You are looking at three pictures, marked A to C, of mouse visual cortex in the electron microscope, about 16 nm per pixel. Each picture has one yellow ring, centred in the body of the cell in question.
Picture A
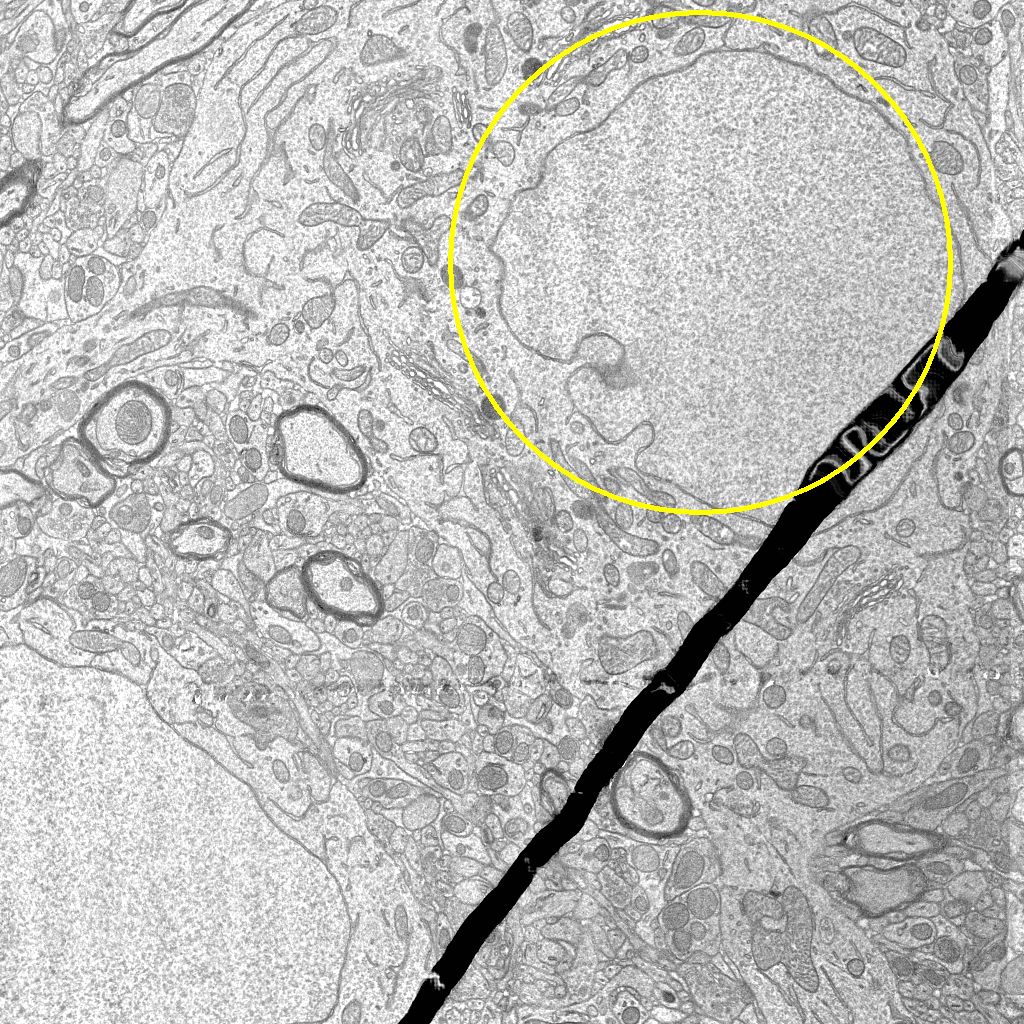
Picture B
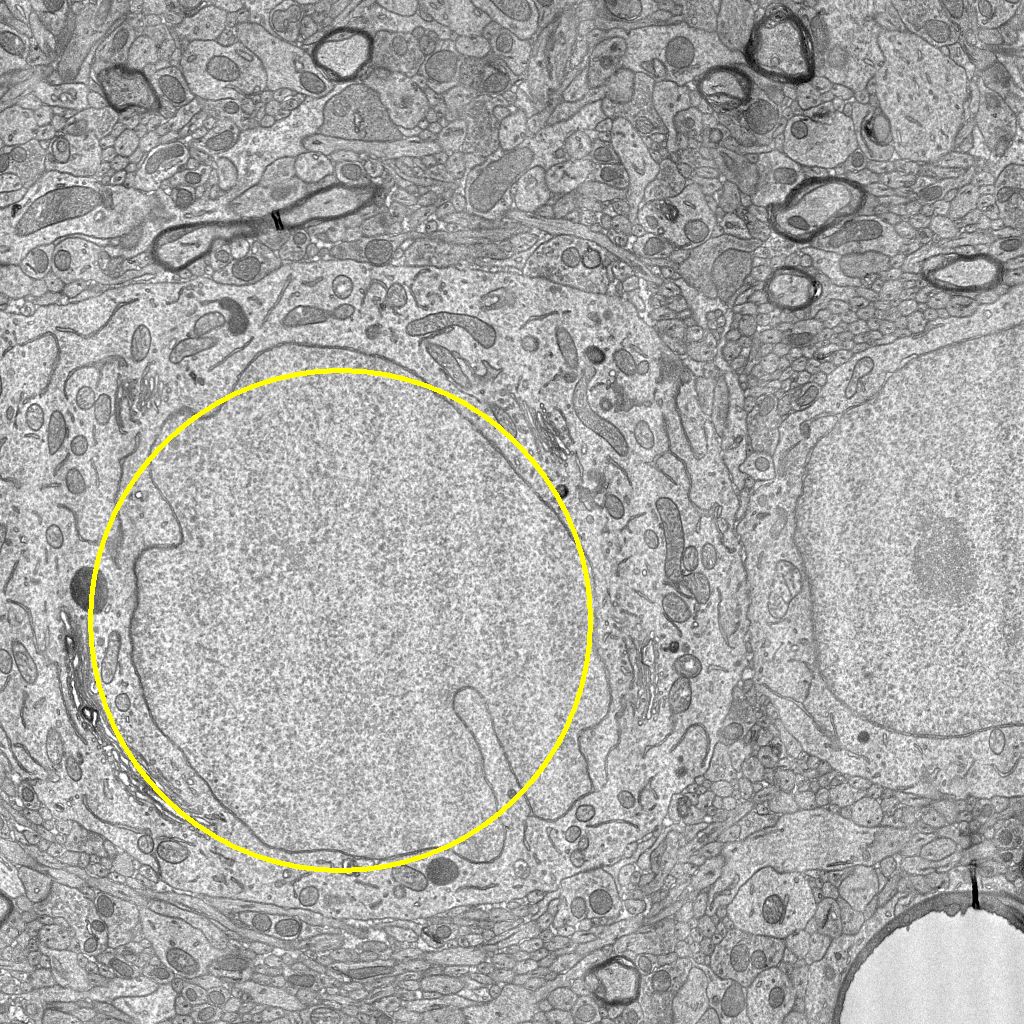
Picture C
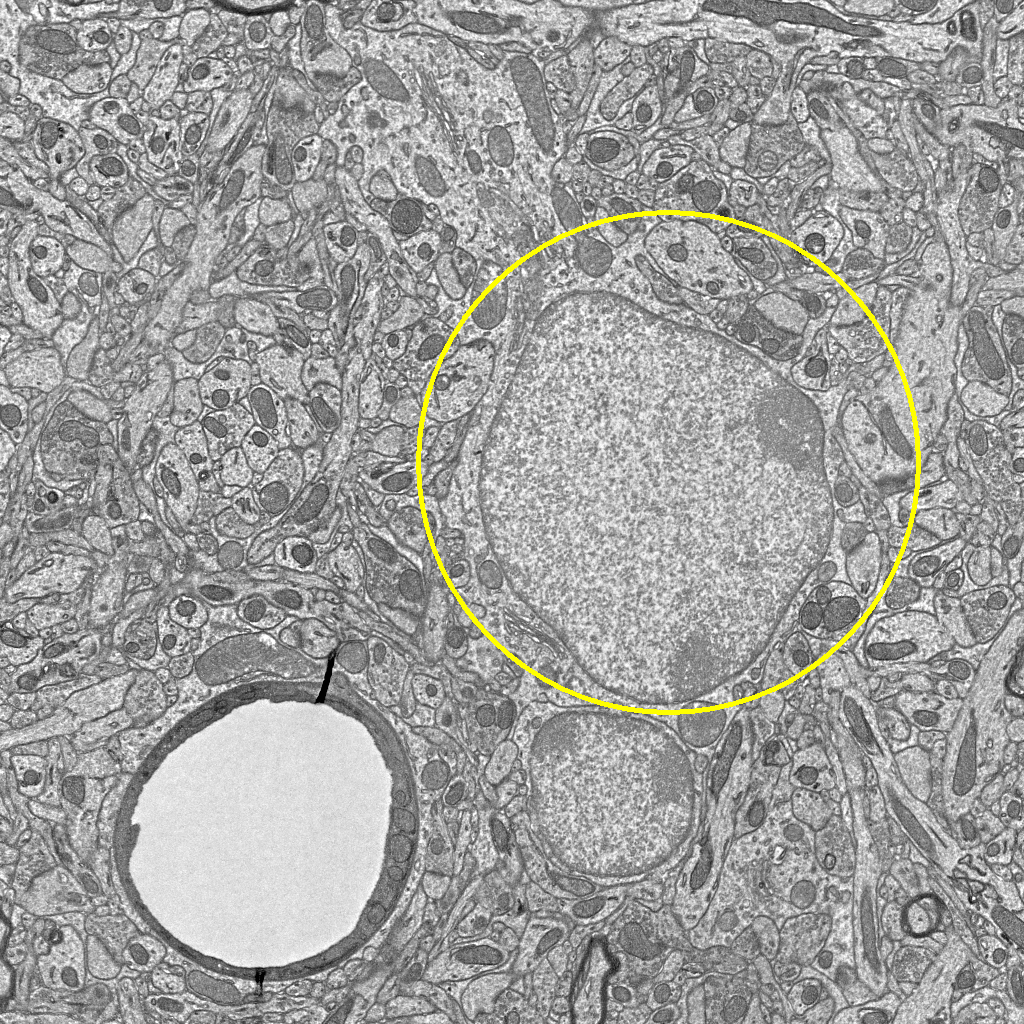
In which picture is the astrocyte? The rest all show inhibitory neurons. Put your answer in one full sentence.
The picture with the astrocyte is C.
